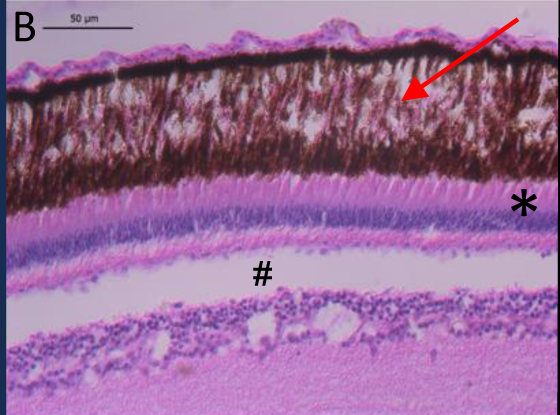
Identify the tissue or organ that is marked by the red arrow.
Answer: pigment layer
